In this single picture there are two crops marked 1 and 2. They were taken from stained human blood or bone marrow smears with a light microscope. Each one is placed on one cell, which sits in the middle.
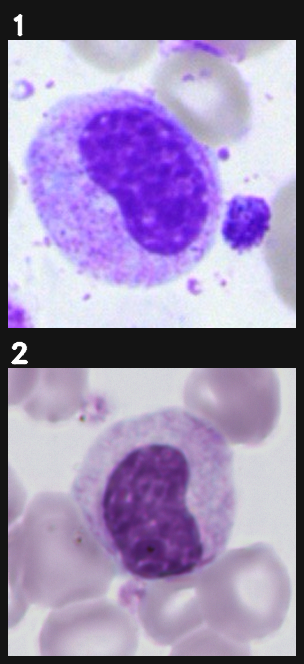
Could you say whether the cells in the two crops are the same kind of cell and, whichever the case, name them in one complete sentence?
Yes, the cells found in the middle of both crops are metamyelocytes.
